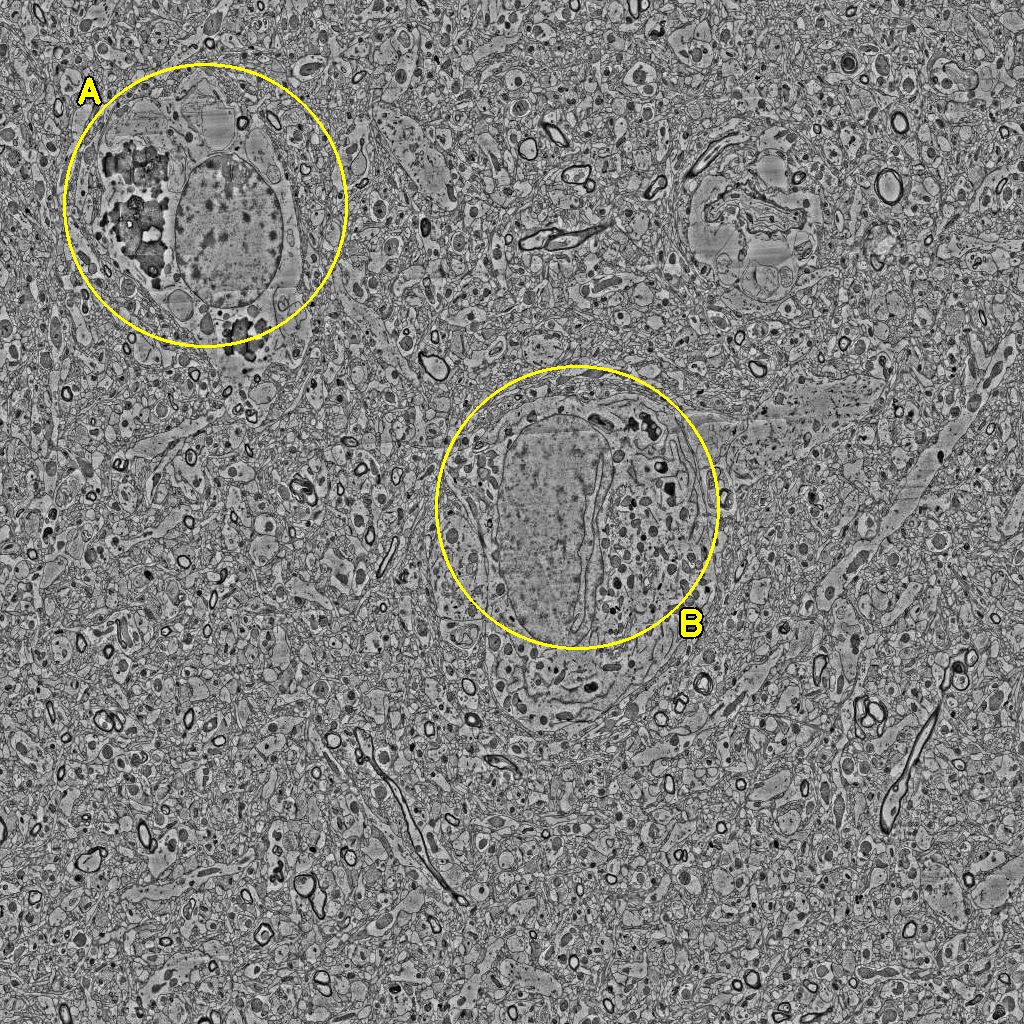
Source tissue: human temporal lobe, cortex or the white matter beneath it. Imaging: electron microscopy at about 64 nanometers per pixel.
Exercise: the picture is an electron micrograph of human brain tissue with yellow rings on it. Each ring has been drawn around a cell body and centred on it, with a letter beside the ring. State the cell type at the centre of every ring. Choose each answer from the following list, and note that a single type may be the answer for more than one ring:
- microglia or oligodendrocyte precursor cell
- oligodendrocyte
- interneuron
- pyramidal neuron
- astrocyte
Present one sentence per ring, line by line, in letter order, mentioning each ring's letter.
Ring A shows an astrocyte at its centre.
Ring B shows an interneuron at its centre.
